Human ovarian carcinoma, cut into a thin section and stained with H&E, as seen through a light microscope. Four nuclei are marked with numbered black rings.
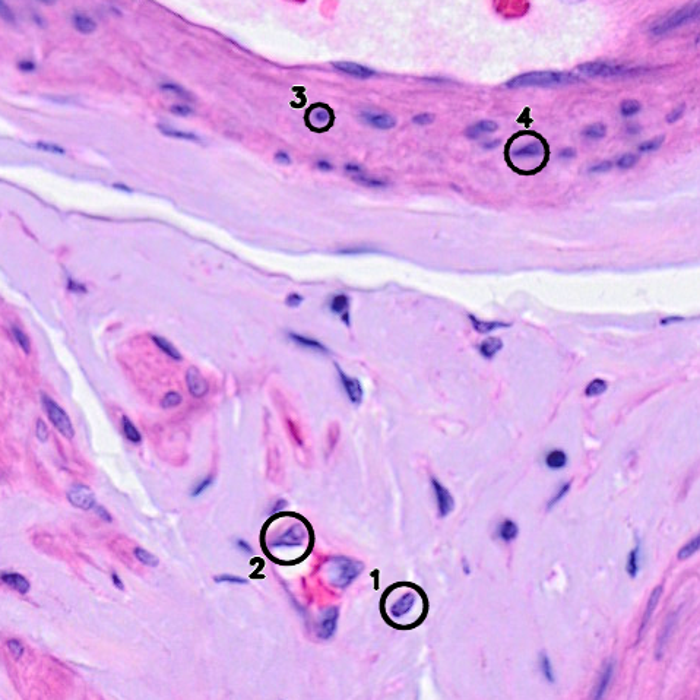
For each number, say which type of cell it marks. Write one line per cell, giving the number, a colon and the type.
1: lymphocyte
2: endothelial cell
3: smooth muscle cell
4: smooth muscle cell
